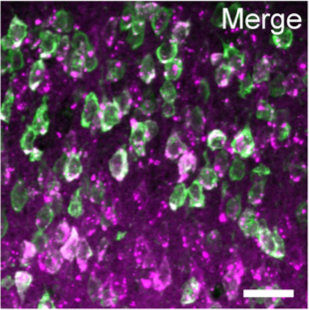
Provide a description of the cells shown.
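Magenta is present in cell bodies and also spread through the surrounding neuropil as a diffuse haze with many bright puncta, so the background between cells is not dark. Where magenta and green overlap, cell bodies appear whitish-pink, mostly toward the lower part of the field. Some green-outlined cells show little magenta.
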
